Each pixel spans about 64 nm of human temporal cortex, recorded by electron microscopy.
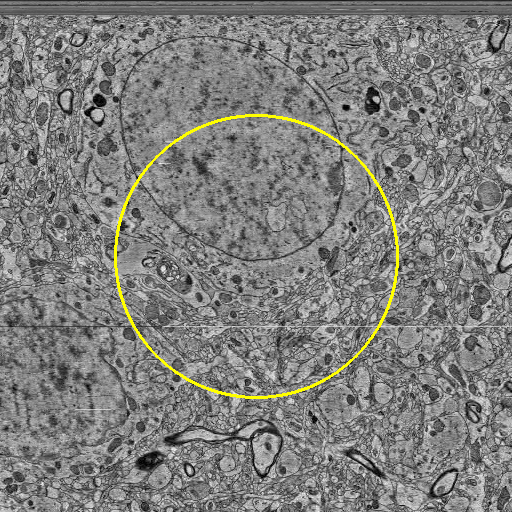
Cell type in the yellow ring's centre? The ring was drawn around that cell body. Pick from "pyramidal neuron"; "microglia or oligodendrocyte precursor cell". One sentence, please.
The ringed cell body is that of a pyramidal neuron.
